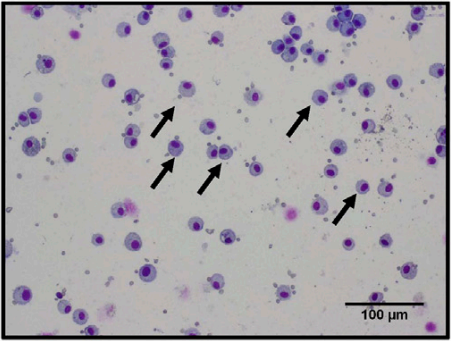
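The scattered cells are largely macrophages, which are rounded cells with a single purple nucleus set in pale bluish cytoplasm. Small purple particles and a few pink cells lie in the background between them.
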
